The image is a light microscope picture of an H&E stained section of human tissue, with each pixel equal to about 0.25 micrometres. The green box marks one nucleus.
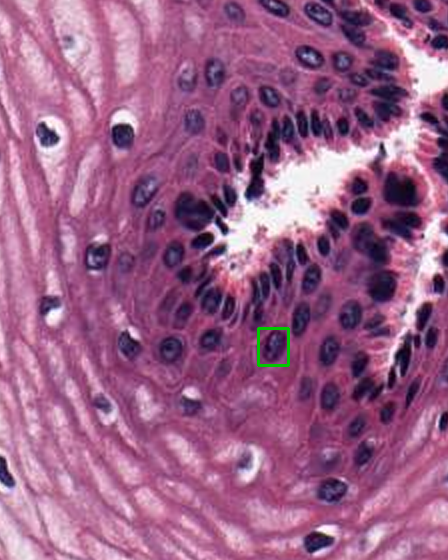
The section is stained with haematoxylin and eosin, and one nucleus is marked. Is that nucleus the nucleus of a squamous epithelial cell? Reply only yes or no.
yes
